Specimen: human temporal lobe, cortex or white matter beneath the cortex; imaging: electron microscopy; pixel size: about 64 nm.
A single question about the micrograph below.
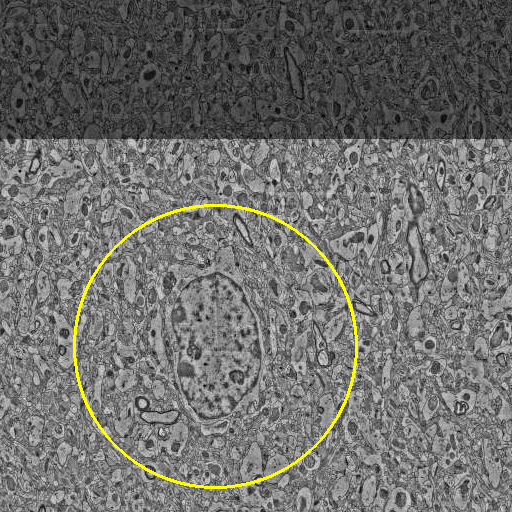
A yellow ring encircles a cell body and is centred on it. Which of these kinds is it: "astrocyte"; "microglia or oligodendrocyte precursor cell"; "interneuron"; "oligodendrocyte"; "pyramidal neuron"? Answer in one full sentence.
The cell body at the centre of the yellow ring belongs to a microglial cell or oligodendrocyte precursor cell.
